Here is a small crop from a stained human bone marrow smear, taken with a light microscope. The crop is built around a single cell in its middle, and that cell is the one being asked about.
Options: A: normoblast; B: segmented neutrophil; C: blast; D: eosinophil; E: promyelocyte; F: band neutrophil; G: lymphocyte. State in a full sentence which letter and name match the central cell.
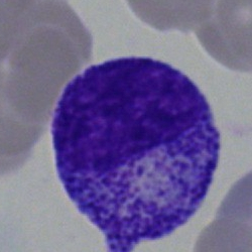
Occupying the middle of the crop is a promyelocyte, hence option E is correct.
